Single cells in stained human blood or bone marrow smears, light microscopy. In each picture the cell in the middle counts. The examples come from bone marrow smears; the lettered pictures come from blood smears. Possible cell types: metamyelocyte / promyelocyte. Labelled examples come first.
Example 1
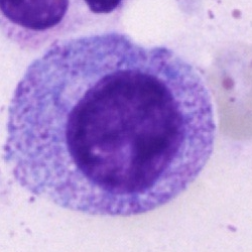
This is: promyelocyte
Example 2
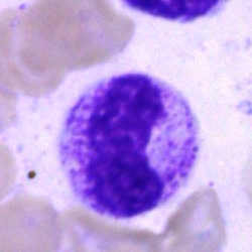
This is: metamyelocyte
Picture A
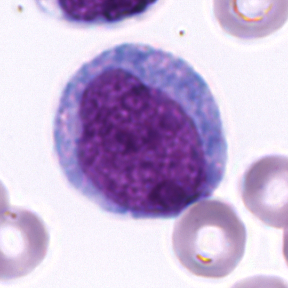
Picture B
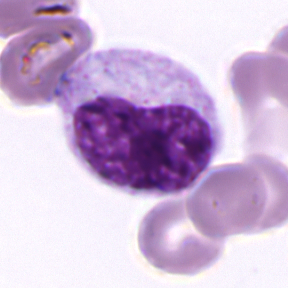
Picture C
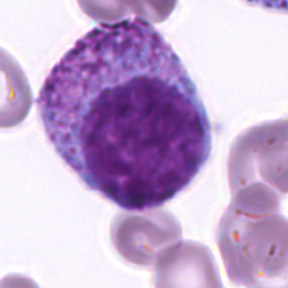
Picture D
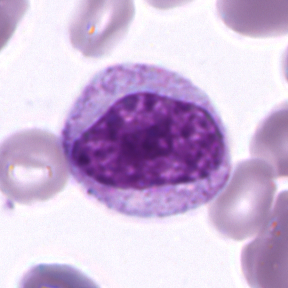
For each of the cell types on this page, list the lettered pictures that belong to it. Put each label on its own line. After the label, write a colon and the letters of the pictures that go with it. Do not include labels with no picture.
metamyelocyte: B, D
promyelocyte: A, C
